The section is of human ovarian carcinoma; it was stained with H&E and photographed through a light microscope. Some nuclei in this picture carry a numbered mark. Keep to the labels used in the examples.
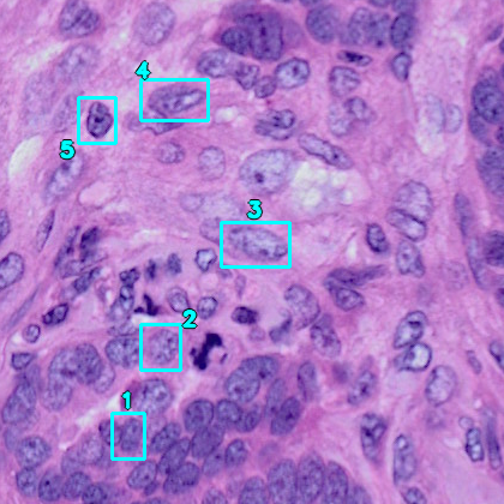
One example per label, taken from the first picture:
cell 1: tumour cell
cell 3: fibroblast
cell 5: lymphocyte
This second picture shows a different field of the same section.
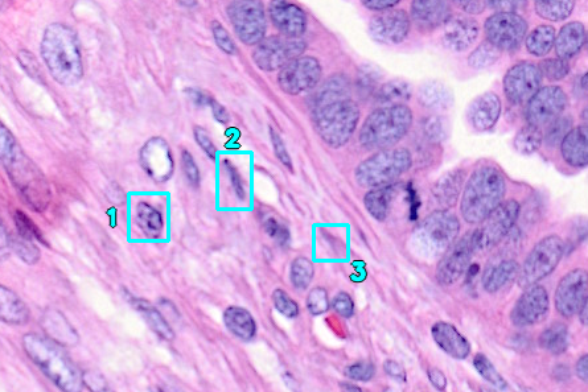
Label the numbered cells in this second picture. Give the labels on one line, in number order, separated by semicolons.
lymphocyte; fibroblast; fibroblast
